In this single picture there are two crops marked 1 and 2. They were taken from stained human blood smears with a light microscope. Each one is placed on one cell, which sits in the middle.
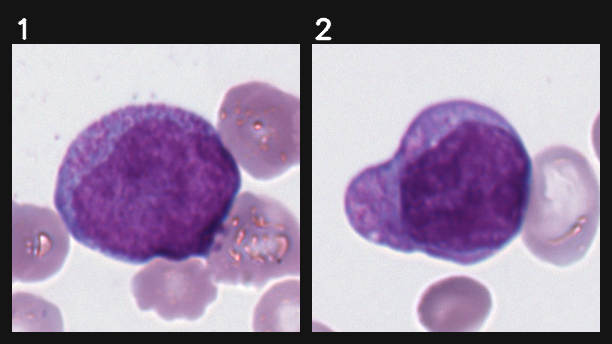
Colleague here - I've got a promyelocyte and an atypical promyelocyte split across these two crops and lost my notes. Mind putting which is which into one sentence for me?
Crop 1 is occupied by a promyelocyte, and crop 2 is occupied by an atypical promyelocyte.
